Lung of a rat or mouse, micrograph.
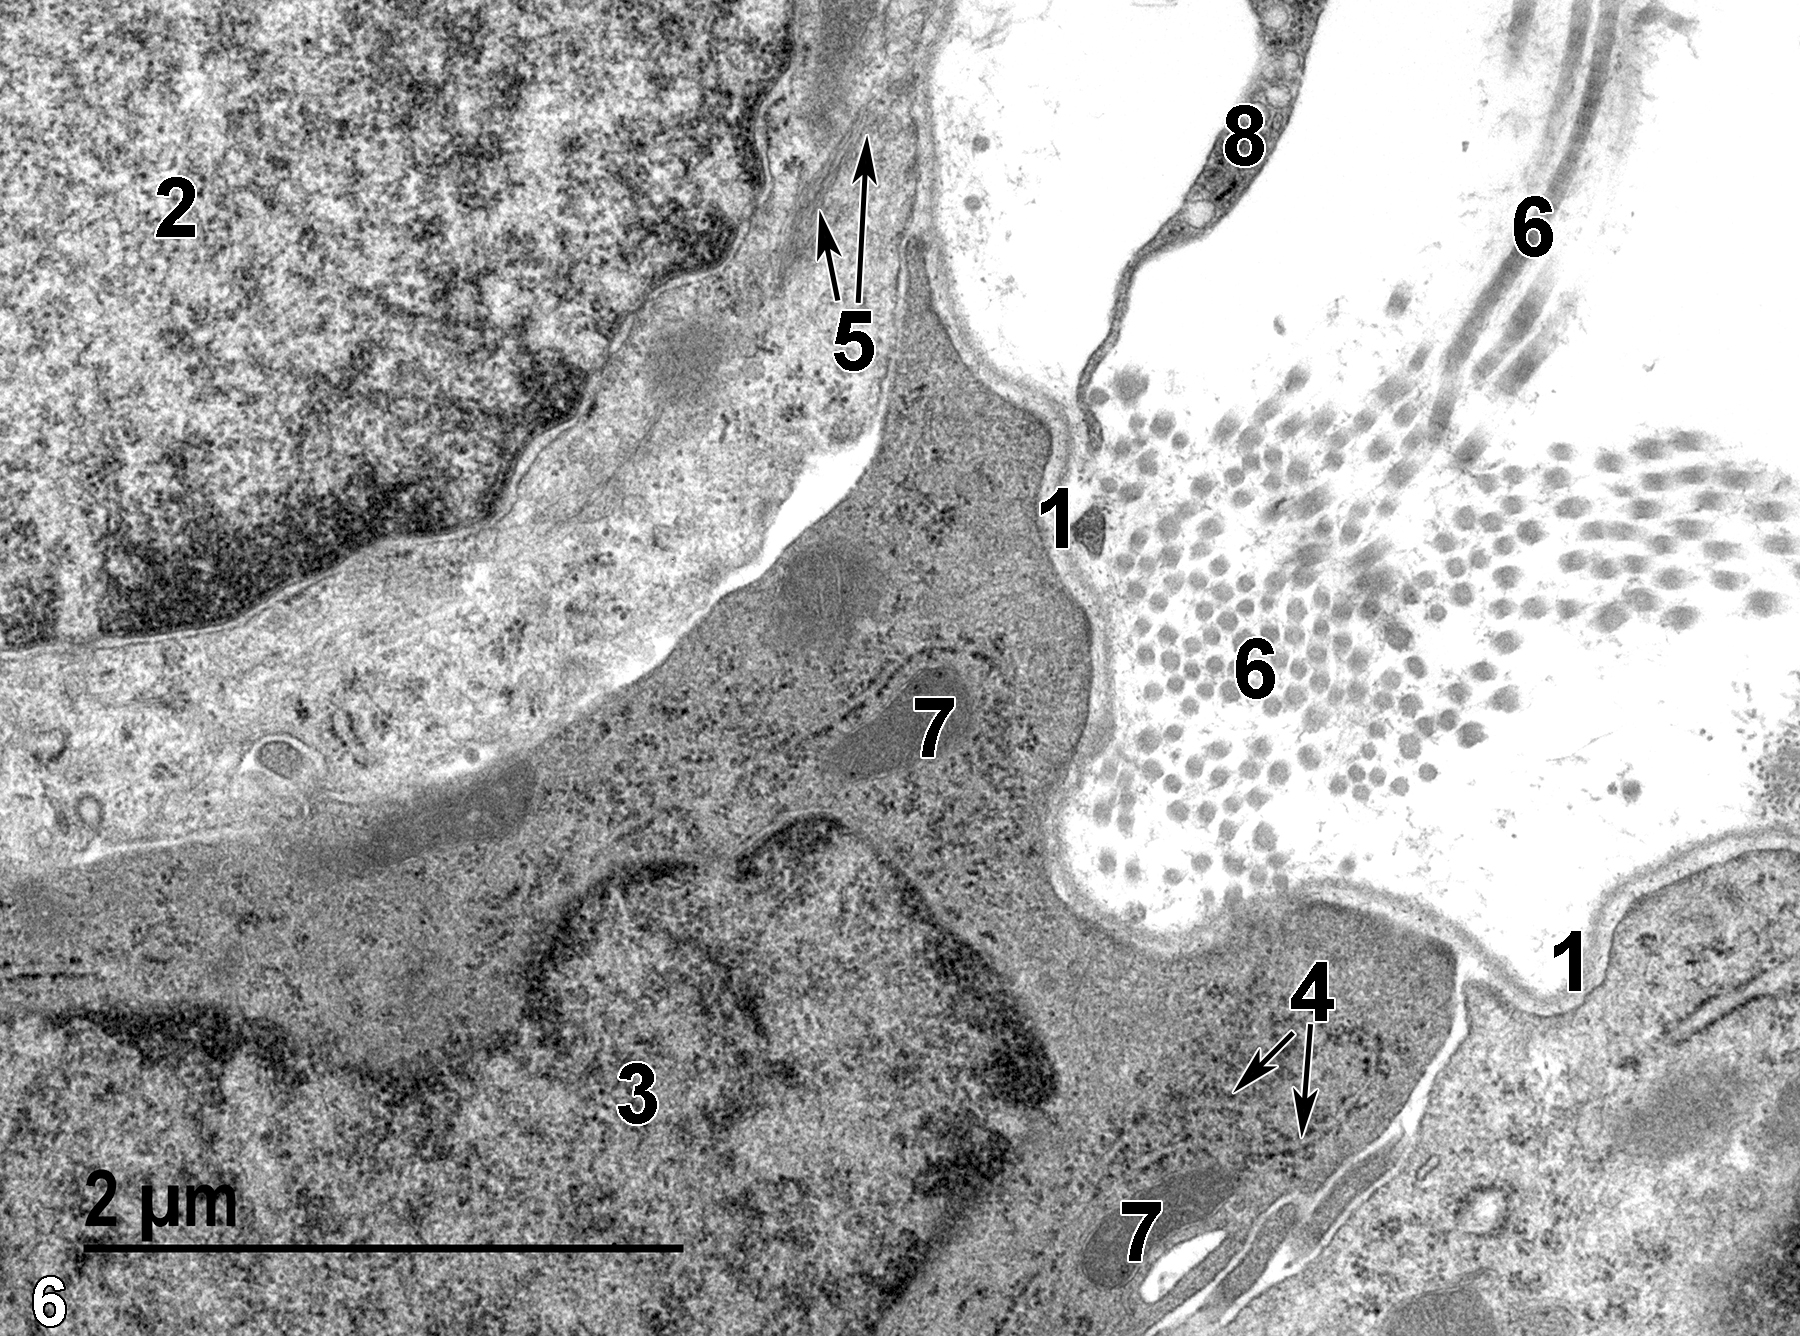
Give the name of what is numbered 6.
6 marks the collagen fibrils.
